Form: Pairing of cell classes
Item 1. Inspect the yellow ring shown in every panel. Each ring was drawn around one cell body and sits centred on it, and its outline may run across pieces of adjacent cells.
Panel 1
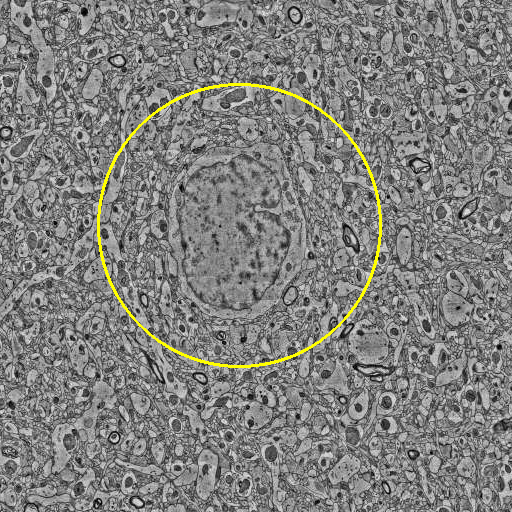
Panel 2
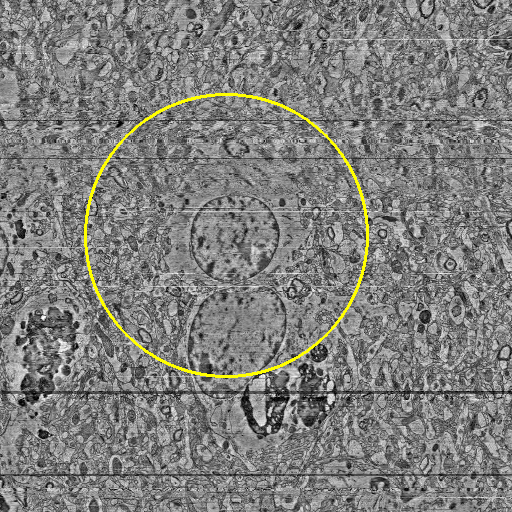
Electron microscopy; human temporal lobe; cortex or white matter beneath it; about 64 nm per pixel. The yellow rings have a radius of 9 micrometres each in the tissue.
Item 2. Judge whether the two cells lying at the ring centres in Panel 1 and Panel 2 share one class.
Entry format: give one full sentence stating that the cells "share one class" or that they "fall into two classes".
The cells at the ring centres in Panel 1 and Panel 2 fall into two classes.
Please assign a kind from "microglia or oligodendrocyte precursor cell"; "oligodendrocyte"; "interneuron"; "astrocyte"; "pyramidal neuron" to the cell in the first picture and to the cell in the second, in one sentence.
In the first picture we have an interneuron, and in the second, an astrocyte.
